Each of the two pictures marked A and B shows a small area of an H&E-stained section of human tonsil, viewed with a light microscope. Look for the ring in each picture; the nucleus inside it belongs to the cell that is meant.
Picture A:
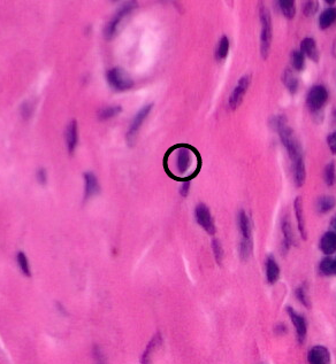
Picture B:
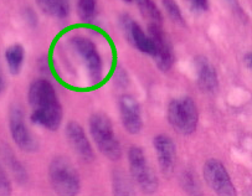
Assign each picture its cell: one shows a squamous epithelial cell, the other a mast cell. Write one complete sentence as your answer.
It is picture A that shows a mast cell, and picture B that shows a squamous epithelial cell.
